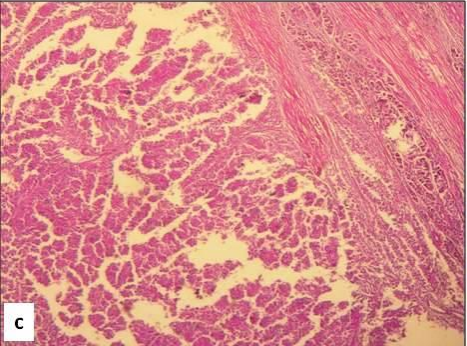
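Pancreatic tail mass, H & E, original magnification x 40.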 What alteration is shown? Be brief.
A: pseudopapillary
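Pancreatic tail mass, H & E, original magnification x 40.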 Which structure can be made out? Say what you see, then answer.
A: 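Thick fibrous capsule. A band of pale pink, parallel fibrous tissue runs across the upper right of the panel. The band borders a cellular proliferation filling the left part of the panel.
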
